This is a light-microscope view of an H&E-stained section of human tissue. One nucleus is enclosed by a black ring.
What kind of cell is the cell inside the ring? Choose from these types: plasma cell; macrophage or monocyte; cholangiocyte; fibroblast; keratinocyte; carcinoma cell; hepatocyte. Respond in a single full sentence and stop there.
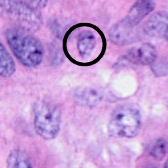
In the context of this tissue, the cell inside the ring is a macrophage or monocyte.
